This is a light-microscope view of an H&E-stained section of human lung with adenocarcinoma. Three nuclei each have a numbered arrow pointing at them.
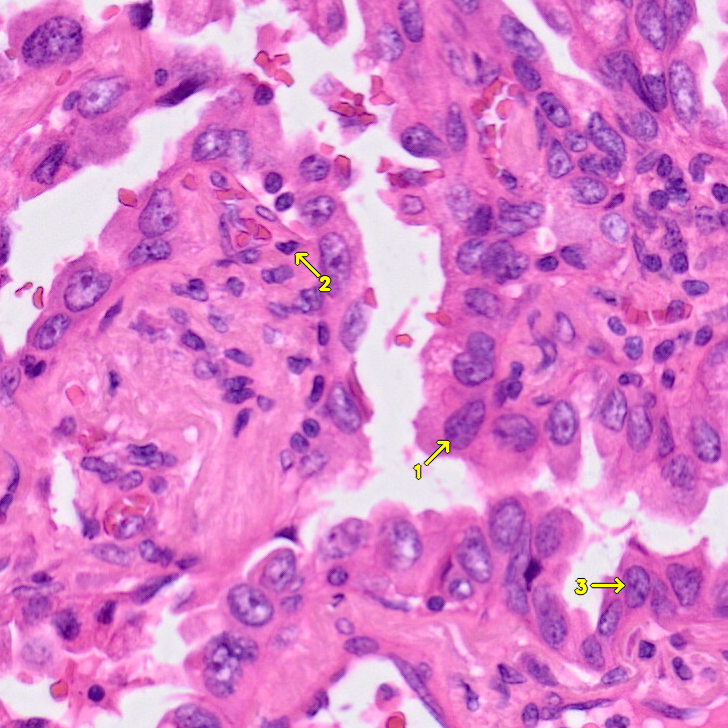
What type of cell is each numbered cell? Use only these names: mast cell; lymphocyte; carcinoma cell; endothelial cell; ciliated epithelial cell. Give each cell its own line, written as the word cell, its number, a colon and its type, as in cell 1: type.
cell 1: carcinoma cell
cell 2: lymphocyte
cell 3: carcinoma cell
